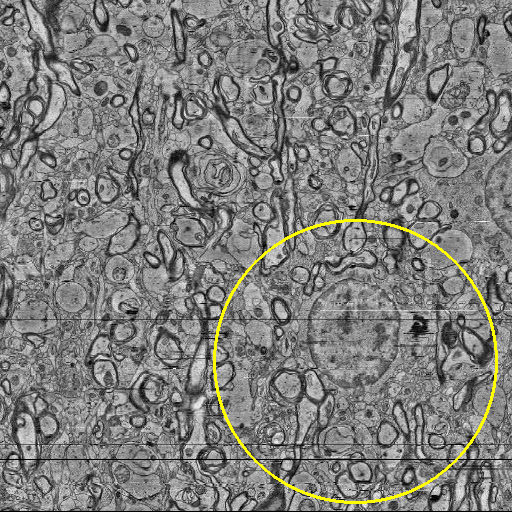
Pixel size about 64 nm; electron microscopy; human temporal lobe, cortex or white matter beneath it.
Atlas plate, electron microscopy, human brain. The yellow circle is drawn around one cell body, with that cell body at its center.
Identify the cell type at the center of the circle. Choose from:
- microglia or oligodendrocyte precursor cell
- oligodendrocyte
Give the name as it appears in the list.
oligodendrocyte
